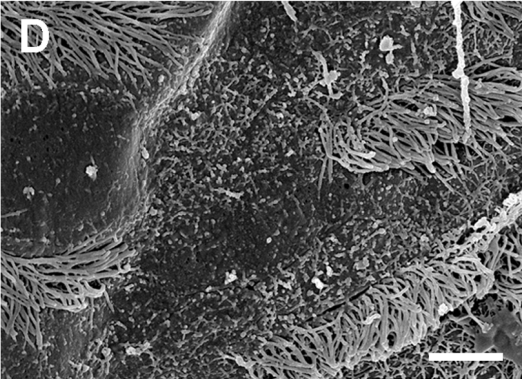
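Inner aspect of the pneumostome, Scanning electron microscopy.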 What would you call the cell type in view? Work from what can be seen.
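Broad flat cell surfaces without cilia, covered by small projections.
Pavement cells.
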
